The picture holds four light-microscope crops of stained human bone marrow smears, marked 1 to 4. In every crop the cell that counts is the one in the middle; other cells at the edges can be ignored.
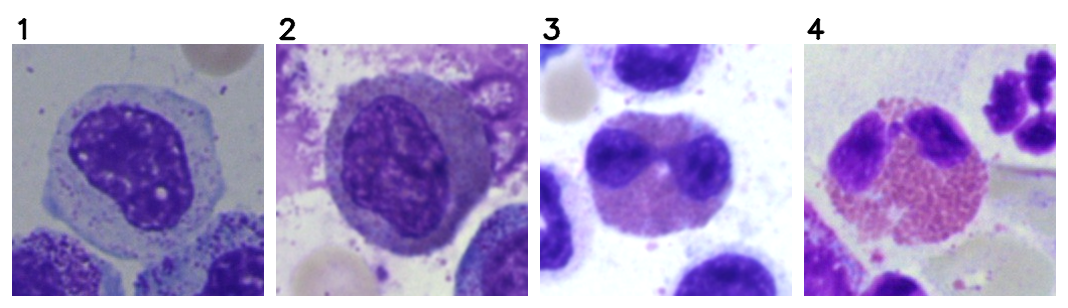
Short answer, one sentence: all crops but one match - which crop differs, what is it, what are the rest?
Crop 1 is the one to flag: it is a metamyelocyte, and the rest show eosinophils.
